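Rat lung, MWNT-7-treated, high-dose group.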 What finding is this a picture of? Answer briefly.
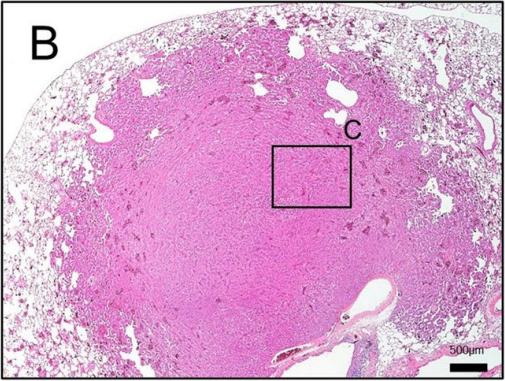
nodular growth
